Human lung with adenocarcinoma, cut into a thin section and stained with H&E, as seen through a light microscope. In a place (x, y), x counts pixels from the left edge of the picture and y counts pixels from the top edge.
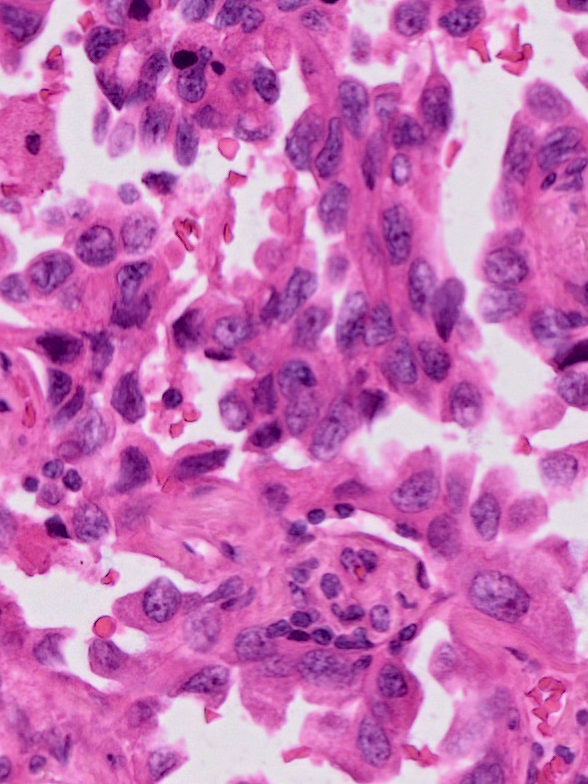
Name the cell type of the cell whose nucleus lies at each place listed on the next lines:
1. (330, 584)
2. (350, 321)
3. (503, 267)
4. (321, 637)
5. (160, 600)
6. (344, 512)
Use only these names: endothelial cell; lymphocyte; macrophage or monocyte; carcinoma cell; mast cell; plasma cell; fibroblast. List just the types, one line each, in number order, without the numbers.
lymphocyte
carcinoma cell
carcinoma cell
lymphocyte
carcinoma cell
lymphocyte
